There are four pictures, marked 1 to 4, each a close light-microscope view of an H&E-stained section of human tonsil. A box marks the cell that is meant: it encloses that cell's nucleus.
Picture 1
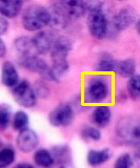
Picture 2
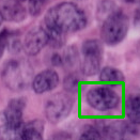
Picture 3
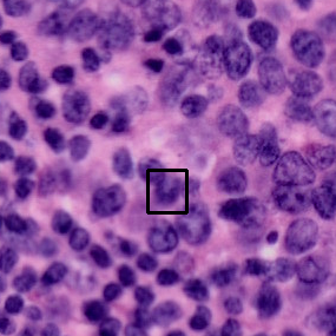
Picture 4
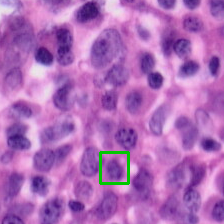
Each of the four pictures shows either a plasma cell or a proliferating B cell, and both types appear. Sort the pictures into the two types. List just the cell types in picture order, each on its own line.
proliferating B cell
proliferating B cell
proliferating B cell
plasma cell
